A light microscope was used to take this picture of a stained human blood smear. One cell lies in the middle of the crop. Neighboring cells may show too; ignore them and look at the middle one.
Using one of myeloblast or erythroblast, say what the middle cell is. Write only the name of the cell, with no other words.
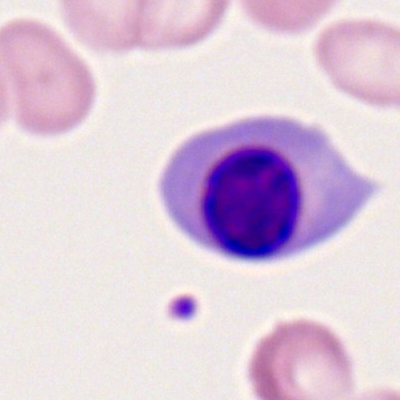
erythroblast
